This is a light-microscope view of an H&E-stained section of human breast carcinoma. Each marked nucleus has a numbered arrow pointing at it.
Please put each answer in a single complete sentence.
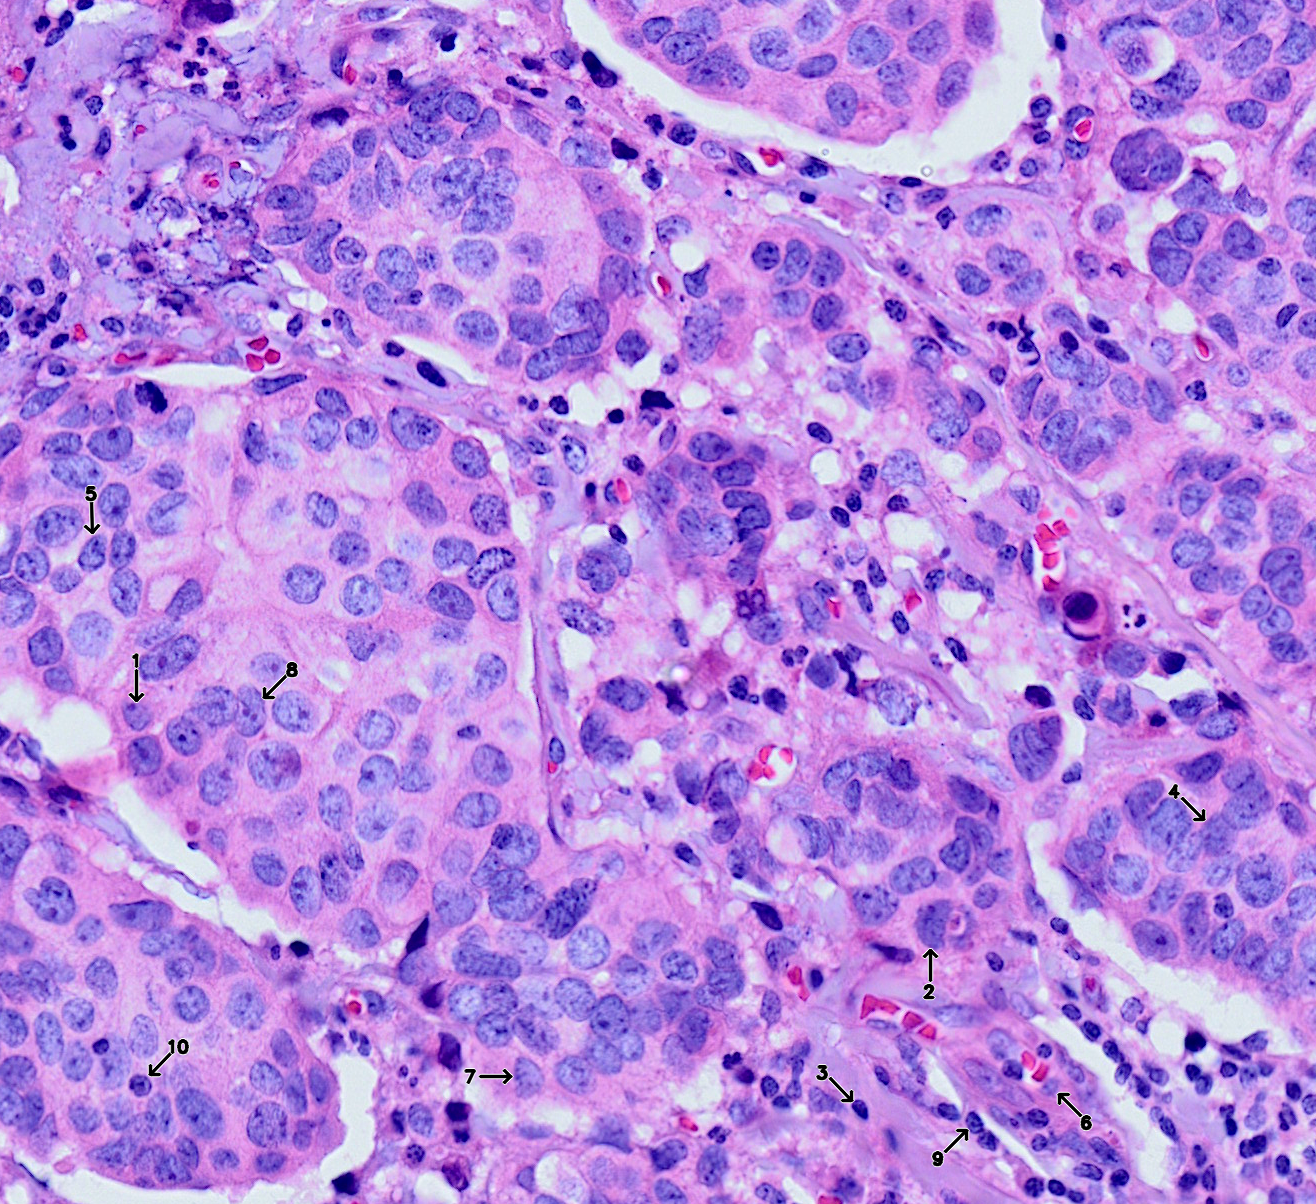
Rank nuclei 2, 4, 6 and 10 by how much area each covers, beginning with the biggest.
Largest first, the order by area is 4, 2, 10, 6.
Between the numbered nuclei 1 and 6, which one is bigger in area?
Number 1 is larger; its area is about 2 times that of number 6.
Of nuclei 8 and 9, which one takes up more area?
Of the two, number 8 is bigger and takes up about 3 times the area of number 9.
